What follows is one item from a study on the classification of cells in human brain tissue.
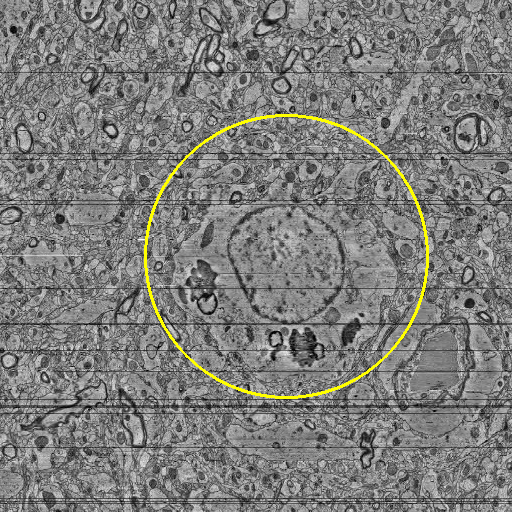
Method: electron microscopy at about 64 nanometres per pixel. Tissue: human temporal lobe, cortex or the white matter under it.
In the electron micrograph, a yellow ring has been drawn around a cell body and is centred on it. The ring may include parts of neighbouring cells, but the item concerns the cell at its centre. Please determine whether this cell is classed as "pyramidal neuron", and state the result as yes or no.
no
